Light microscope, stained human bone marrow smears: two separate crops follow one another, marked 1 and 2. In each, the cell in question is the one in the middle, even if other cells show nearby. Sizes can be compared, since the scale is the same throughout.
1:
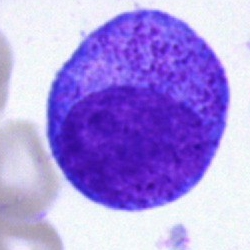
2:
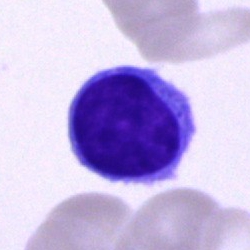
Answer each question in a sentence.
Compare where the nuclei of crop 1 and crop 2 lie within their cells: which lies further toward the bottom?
Seen within its cell, the nucleus in crop 1 lies further toward the bottom.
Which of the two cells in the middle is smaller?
Crop 2 holds the smaller cell, since the cell in crop 1 covers about 2.5 times as much area.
